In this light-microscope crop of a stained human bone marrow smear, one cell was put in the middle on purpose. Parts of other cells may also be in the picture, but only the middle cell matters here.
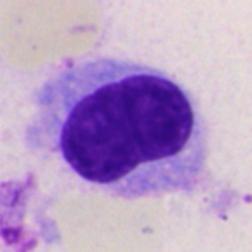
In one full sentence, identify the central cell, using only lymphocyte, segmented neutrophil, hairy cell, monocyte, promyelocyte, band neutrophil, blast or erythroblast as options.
The cell positioned in the middle of the field is a hairy cell.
